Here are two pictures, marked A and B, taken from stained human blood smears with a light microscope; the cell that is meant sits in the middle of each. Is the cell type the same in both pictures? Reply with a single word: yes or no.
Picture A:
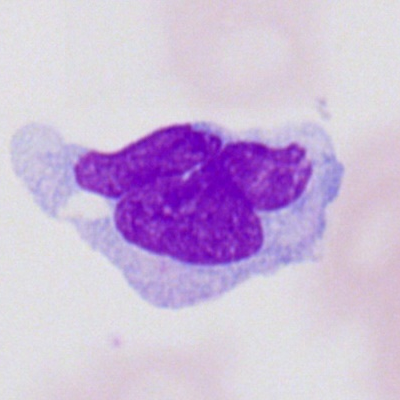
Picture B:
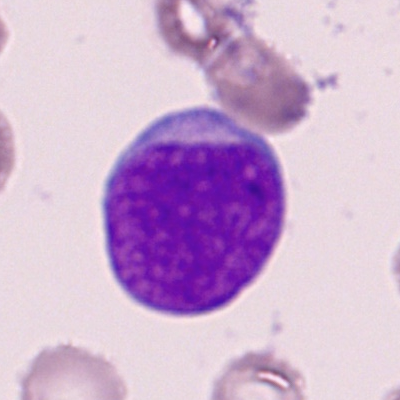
no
